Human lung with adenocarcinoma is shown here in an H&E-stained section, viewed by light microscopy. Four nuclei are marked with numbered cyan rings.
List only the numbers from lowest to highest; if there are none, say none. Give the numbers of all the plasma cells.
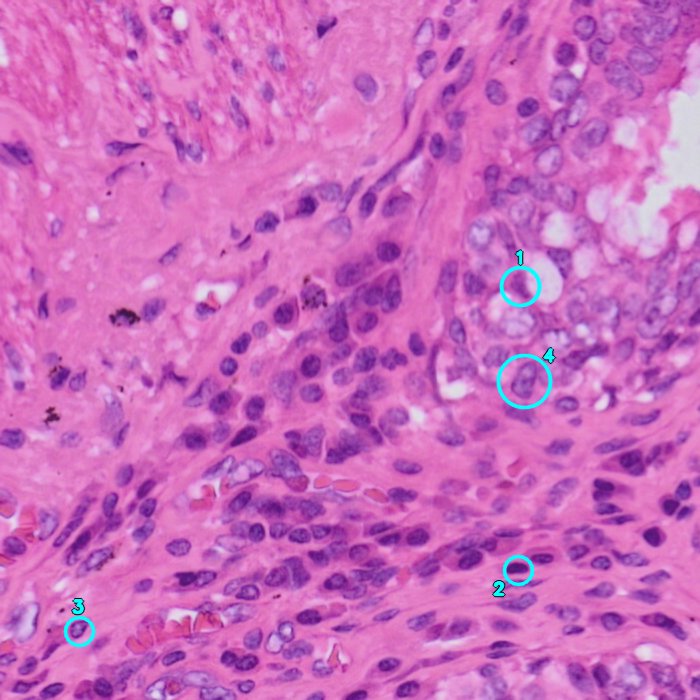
2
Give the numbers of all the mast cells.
3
